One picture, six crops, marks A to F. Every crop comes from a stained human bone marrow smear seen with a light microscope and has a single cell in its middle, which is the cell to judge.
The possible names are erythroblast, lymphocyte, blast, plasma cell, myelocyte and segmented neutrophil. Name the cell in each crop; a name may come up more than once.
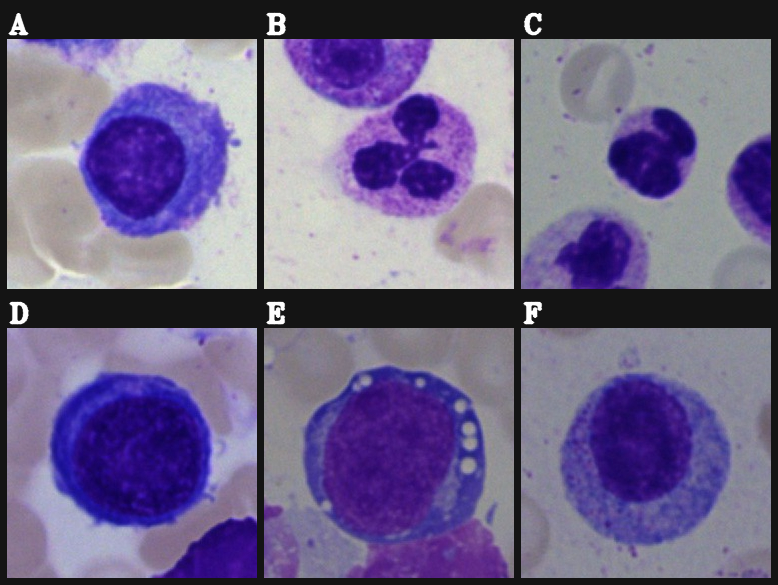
A: plasma cell
B: segmented neutrophil
C: segmented neutrophil
D: erythroblast
E: blast
F: myelocyte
